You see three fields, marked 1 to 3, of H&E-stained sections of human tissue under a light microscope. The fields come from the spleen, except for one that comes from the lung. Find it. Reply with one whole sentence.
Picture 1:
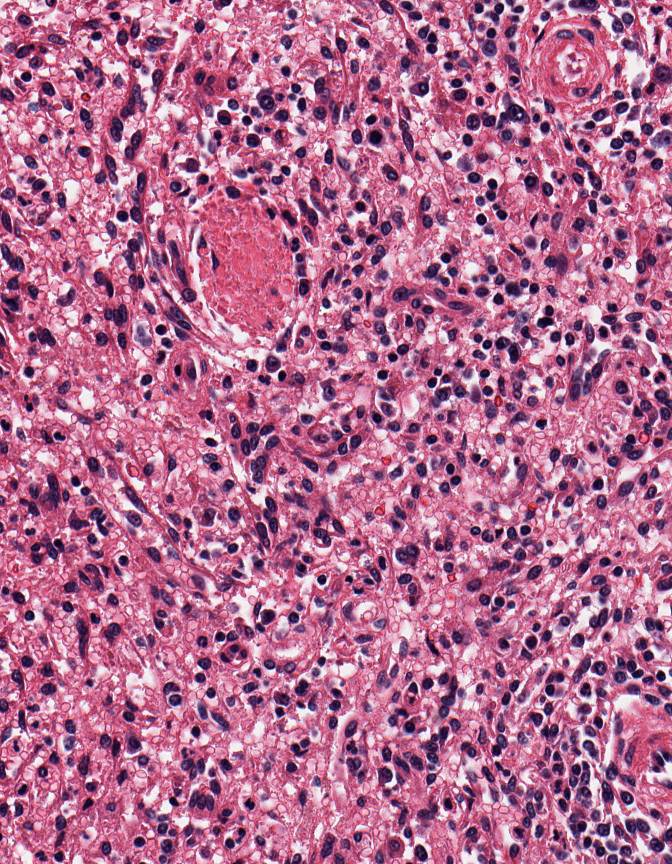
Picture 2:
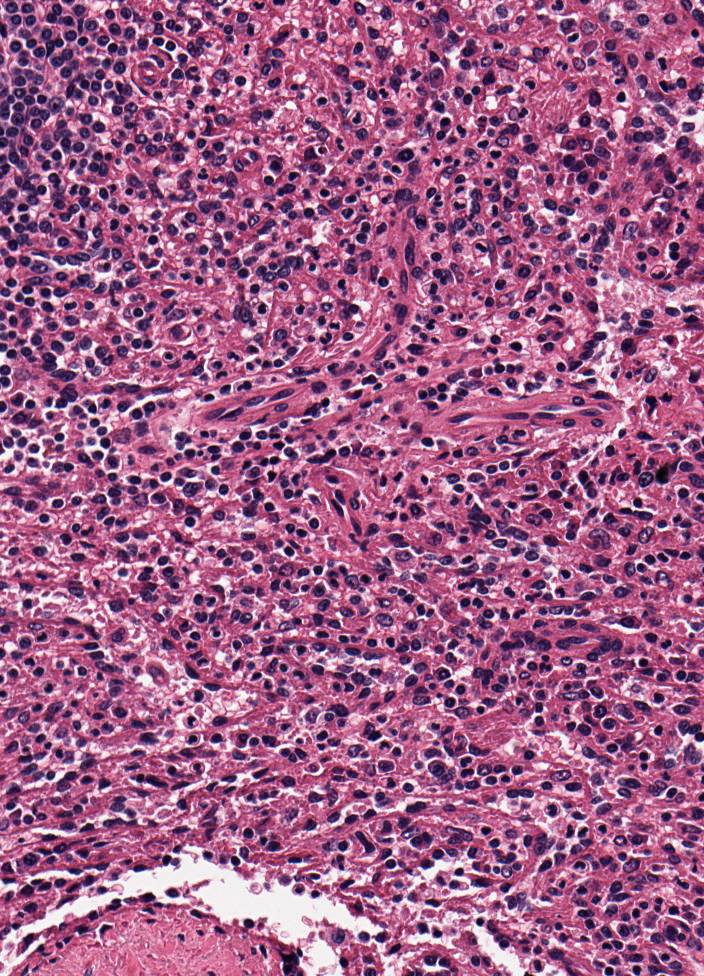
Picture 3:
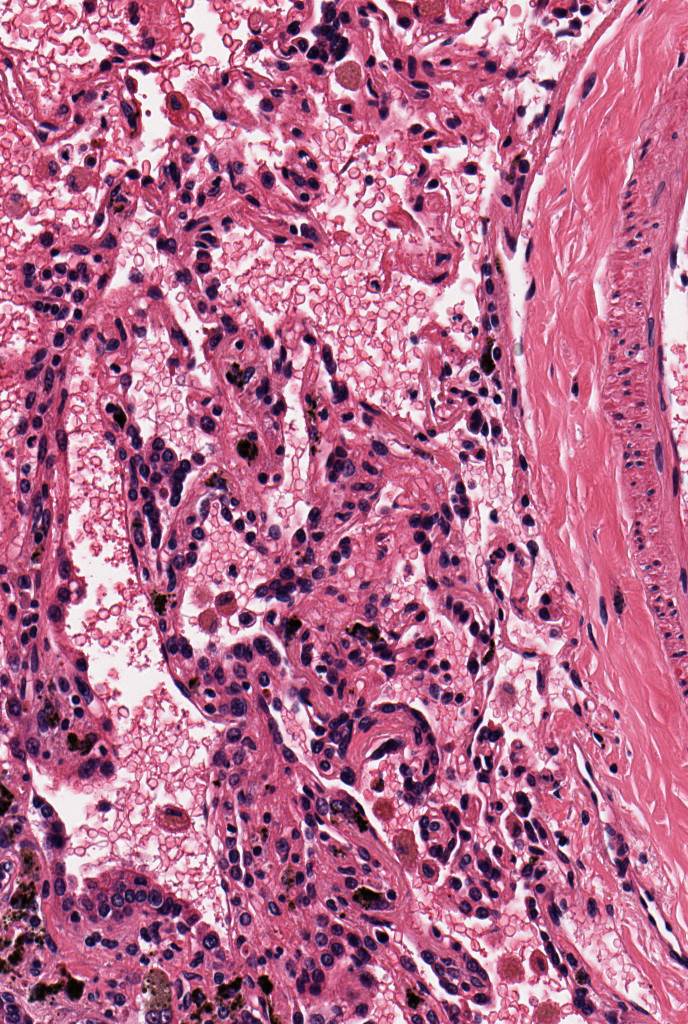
Picture 3 comes from the lung.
